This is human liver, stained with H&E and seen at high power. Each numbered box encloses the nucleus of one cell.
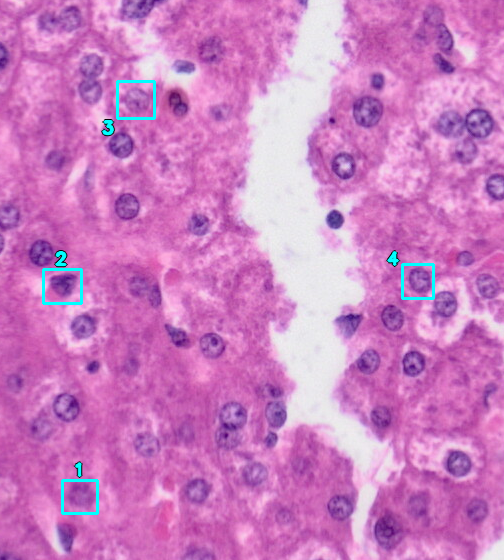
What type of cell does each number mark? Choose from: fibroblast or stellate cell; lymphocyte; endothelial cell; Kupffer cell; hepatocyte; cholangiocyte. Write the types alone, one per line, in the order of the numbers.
hepatocyte
endothelial cell
hepatocyte
hepatocyte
